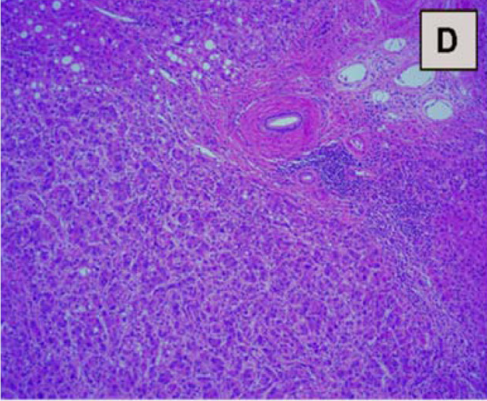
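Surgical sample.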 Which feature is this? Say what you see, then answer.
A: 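A pink fibrous area holds a thick-walled artery with a concentric muscular wall. Small ducts and a cluster of small dark round cells lie beside the artery. Sheets of polygonal cells surround the fibrous area.
Conclusion: portal tract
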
